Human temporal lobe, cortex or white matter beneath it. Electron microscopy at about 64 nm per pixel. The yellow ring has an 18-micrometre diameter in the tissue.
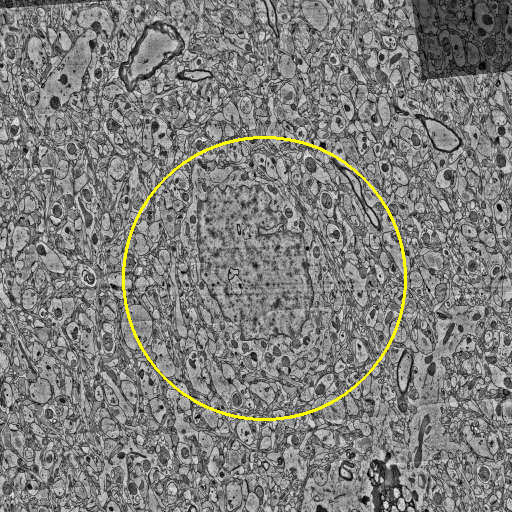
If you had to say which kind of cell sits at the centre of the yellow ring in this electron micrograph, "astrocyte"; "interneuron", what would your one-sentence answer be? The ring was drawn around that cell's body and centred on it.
The cell sitting at the centre of the ring is an interneuron.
